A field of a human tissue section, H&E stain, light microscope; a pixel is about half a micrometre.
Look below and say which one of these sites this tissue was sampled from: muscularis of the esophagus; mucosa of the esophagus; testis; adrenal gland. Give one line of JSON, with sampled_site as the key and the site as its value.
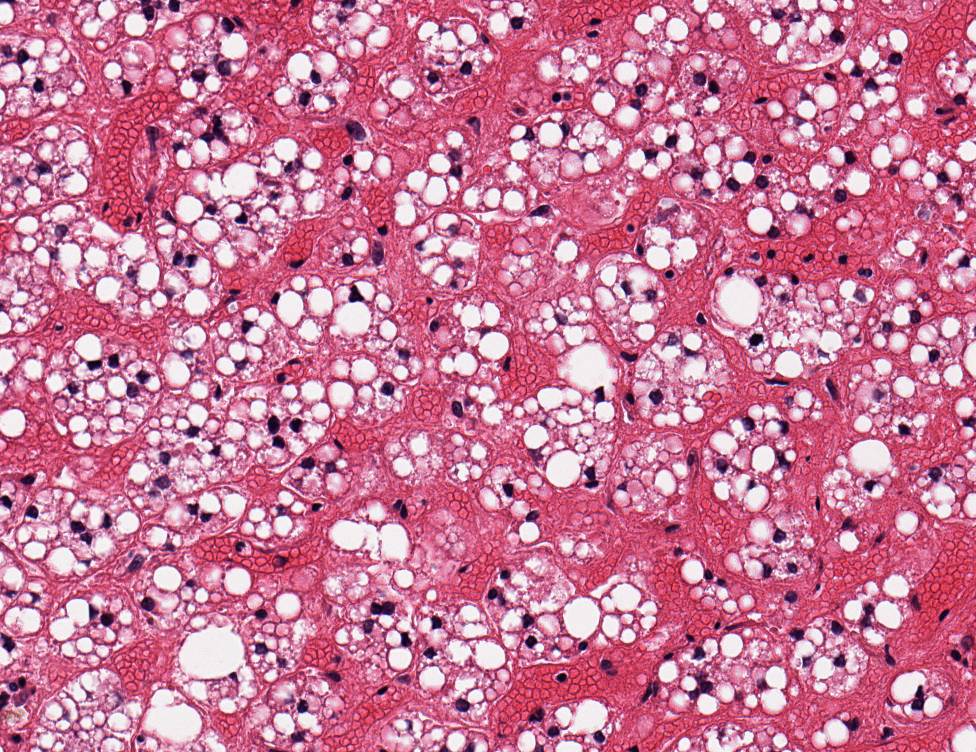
{"sampled_site": "adrenal gland"}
